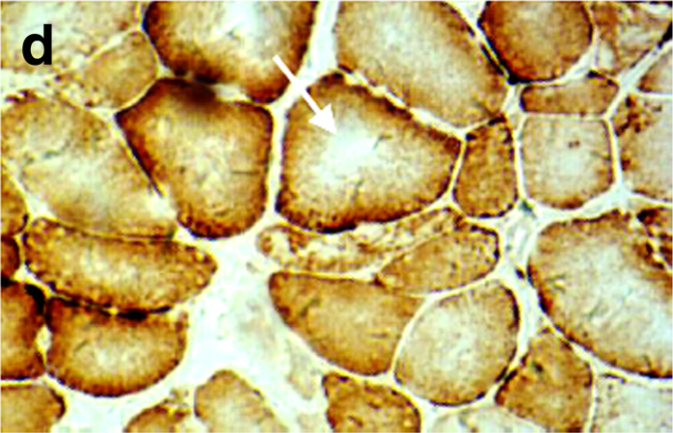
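Skeletal muscle fibers in cross-section are stained brown with varying intensity, some darker and some paler. One fiber shows a central pale area with brown stain kept at its periphery, a core-like lesion. Several other fibers also have paler centres than rims.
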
